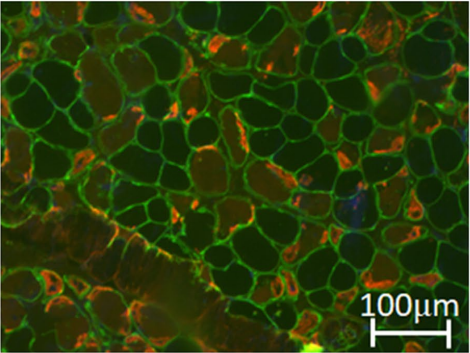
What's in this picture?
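Cross-sectioned skeletal muscle fibers are each outlined by a thin green rim. Many fibers, of varying size, contain red within their interiors, some evenly and some mainly near their edges, while others are dark. The fibers are rounded to polygonal and less regular in size than in undamaged muscle, and few blue nuclei are seen.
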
